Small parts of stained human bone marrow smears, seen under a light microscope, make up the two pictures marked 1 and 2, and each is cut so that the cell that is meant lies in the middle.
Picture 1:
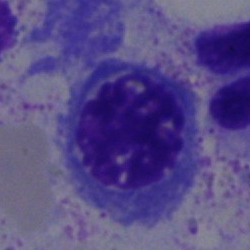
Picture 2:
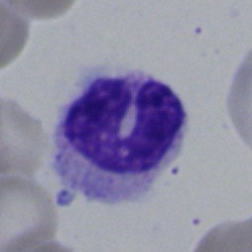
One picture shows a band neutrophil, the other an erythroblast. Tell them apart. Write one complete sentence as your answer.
The cell in picture 1 is an erythroblast, and the one in picture 2 is a band neutrophil.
